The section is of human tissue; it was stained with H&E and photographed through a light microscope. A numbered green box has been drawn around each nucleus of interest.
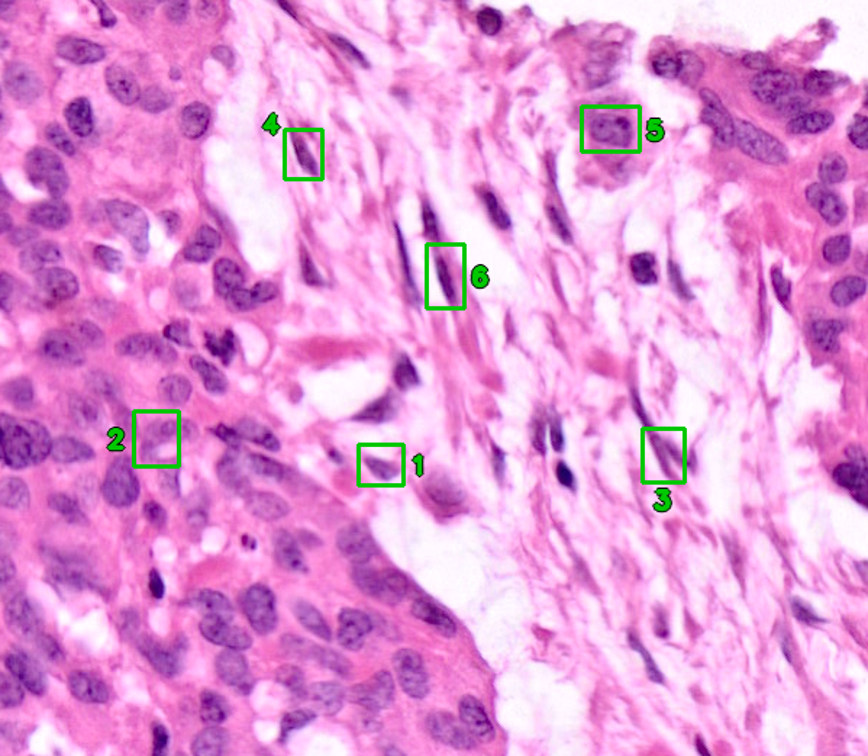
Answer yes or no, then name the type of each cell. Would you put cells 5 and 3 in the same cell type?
No, cell 5 is a macrophage or monocyte; as for cell 3, that one is a fibroblast.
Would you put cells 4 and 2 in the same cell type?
No, cell 4 is a fibroblast, and cell 2, in contrast, is a carcinoma cell.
